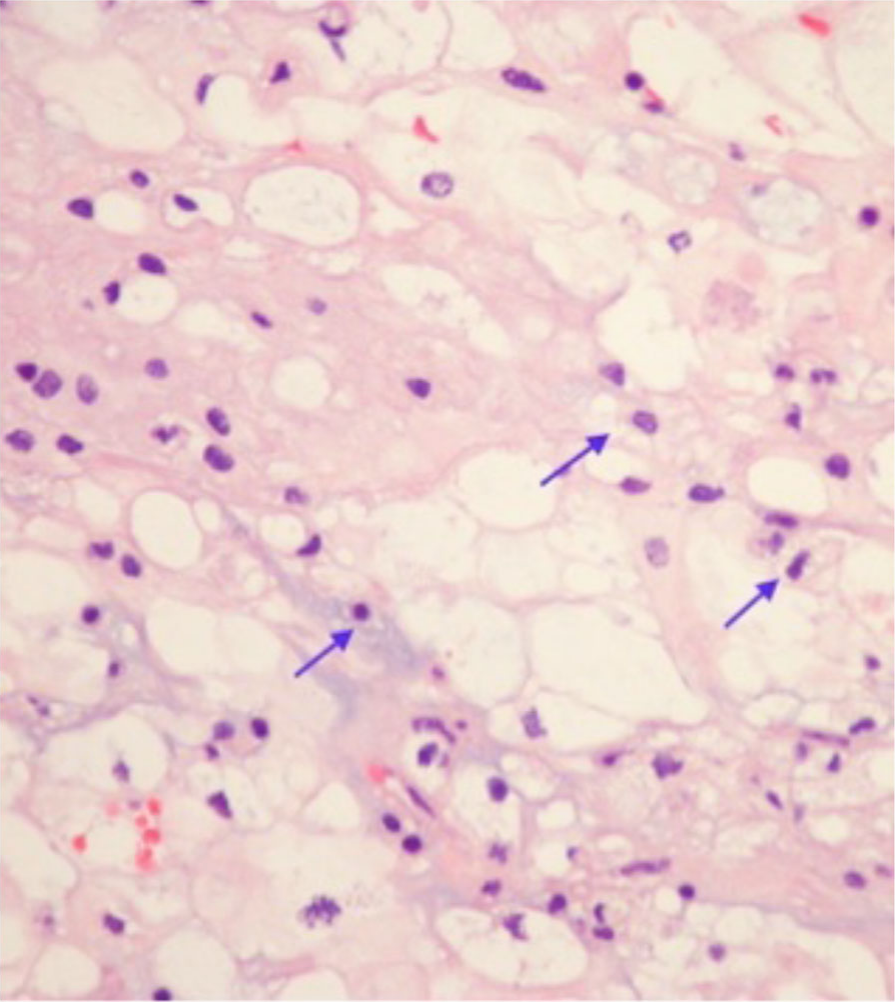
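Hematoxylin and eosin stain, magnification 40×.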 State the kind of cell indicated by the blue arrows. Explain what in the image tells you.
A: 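Physaliphorous cells. The cells at the arrows have cytoplasm filled with many clear, empty-looking vacuoles of different sizes. Their small, dark nuclei sit at the edge of the bubbly cytoplasm. Many similar vacuolated cells fill the field.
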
